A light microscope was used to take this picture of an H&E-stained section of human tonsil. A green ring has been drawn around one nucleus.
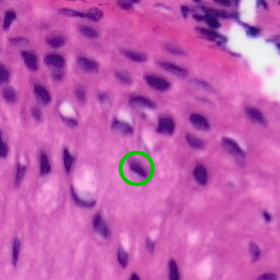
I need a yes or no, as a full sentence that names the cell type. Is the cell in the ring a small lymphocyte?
No, it is a squamous epithelial cell that the cell in the ring is, rather than a small lymphocyte.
